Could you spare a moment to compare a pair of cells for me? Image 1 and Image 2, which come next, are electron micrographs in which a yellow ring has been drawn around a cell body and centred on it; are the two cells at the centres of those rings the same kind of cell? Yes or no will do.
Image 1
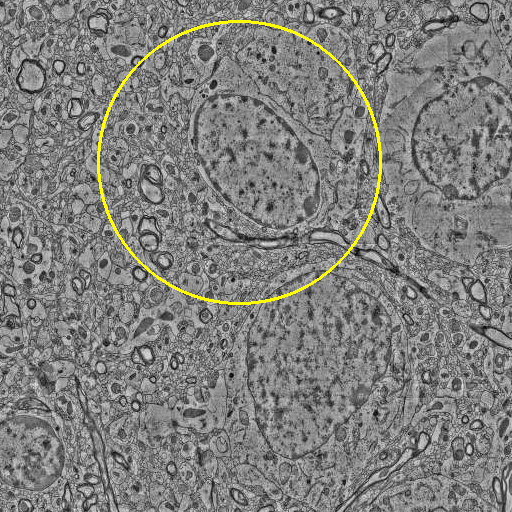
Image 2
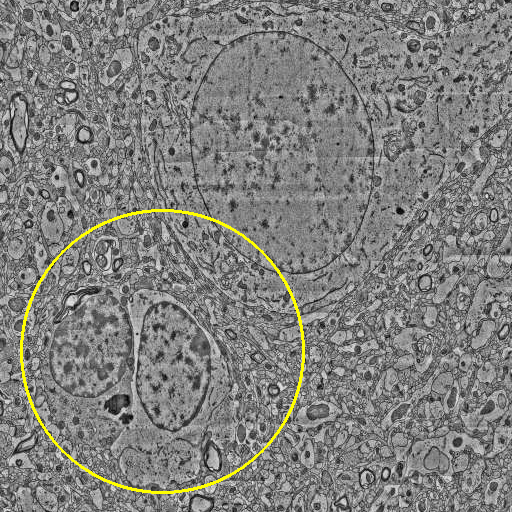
yes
